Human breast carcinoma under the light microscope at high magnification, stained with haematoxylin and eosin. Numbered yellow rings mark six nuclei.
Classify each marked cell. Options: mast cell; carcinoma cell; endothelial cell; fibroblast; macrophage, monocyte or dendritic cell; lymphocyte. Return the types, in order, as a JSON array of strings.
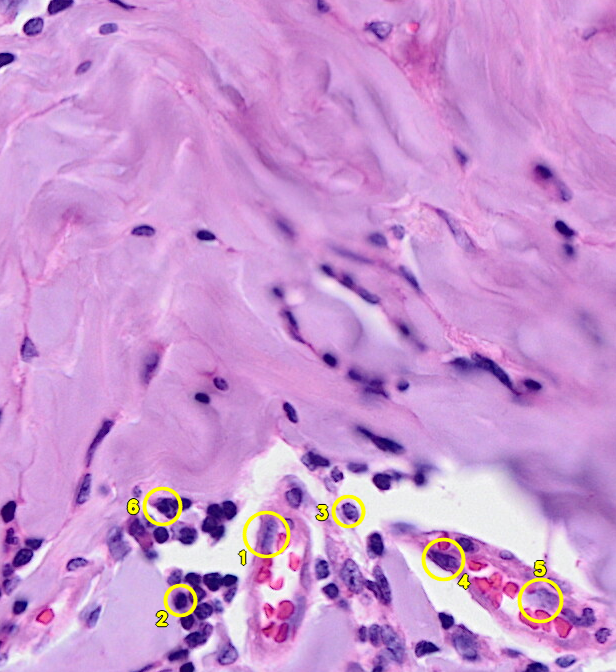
["endothelial cell", "lymphocyte", "lymphocyte", "endothelial cell", "endothelial cell", "lymphocyte"]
